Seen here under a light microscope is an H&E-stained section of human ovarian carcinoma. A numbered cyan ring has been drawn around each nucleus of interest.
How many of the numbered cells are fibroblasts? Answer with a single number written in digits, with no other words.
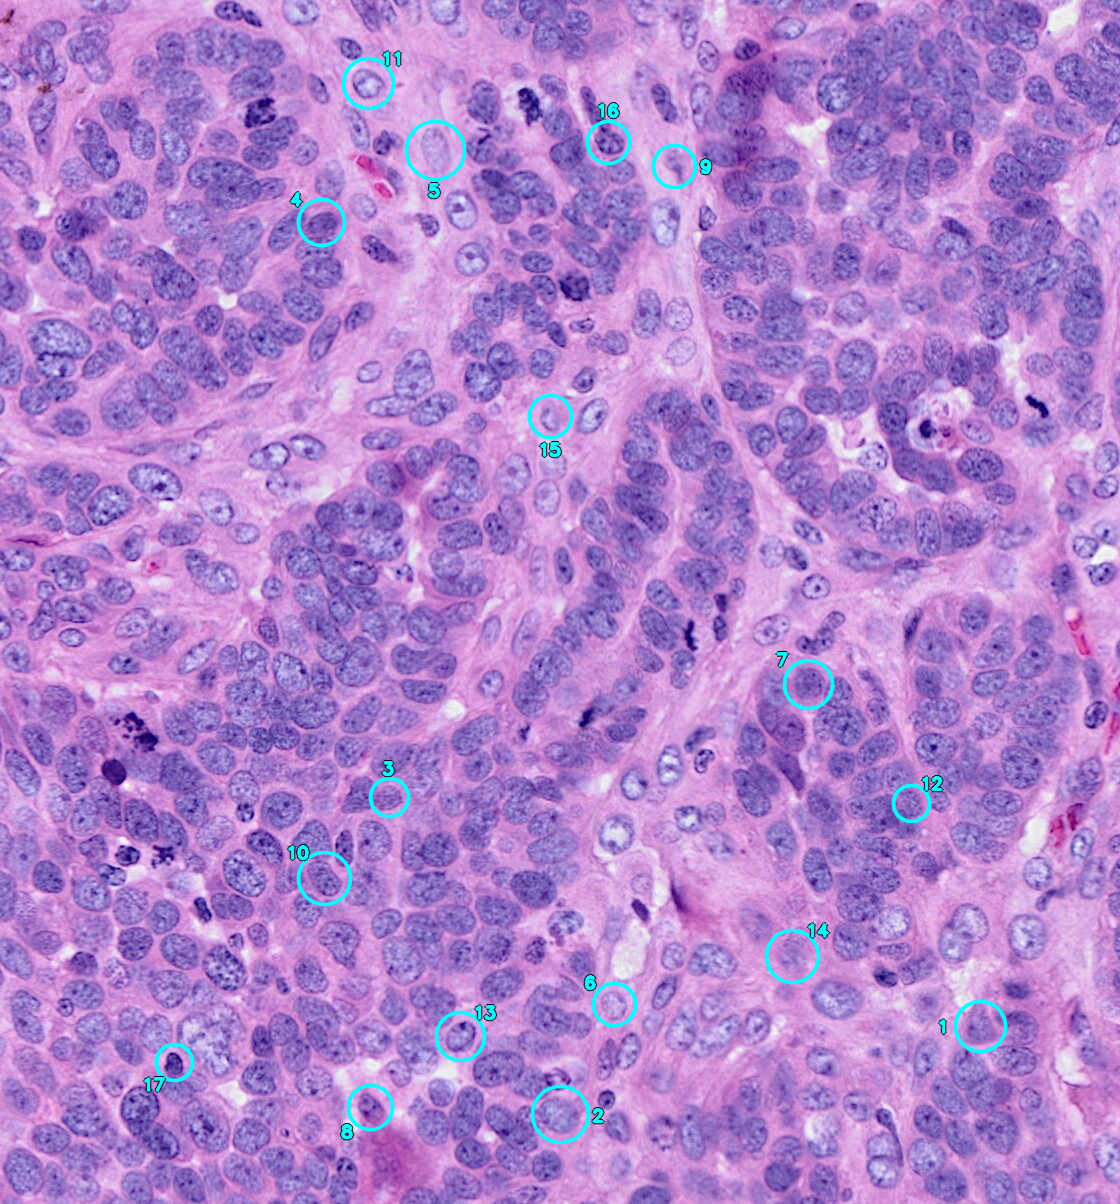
6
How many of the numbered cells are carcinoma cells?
7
